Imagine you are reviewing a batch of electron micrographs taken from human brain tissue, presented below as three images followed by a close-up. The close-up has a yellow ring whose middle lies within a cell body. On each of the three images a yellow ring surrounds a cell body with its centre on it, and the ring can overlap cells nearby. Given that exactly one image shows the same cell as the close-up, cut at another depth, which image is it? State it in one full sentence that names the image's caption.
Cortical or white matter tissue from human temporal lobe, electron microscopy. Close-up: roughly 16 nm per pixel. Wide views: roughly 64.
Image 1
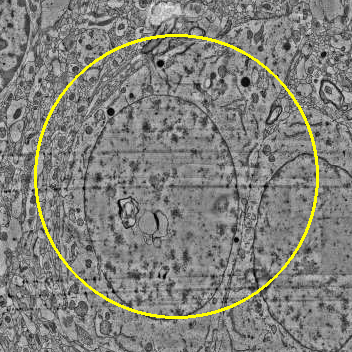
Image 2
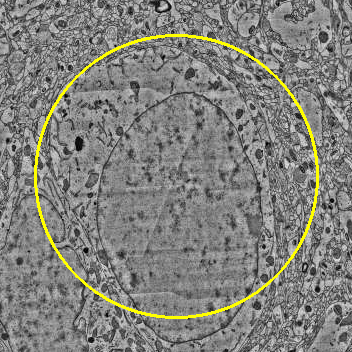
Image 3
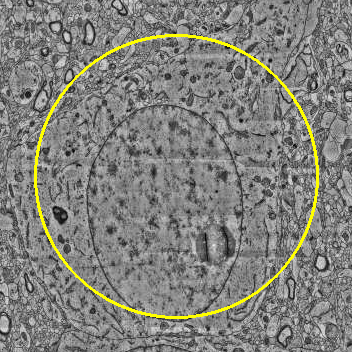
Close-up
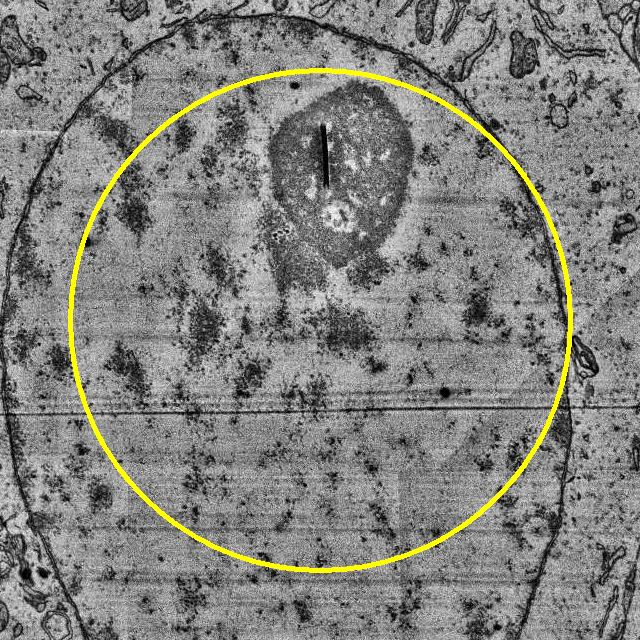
In the close-up, the cell is the one circled within Image 1.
